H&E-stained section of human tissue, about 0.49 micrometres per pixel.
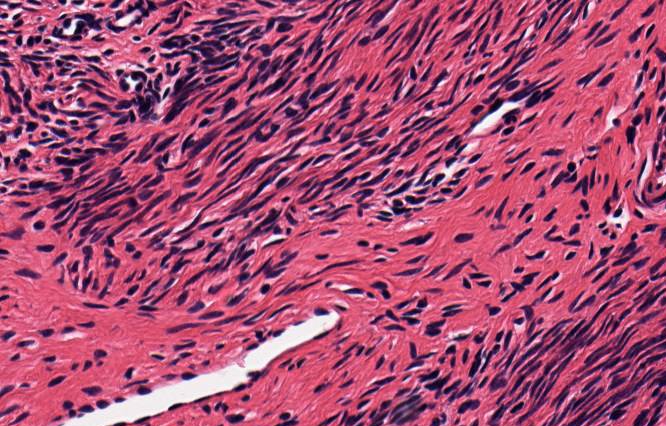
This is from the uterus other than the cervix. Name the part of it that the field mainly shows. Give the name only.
smooth muscle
